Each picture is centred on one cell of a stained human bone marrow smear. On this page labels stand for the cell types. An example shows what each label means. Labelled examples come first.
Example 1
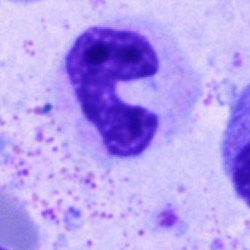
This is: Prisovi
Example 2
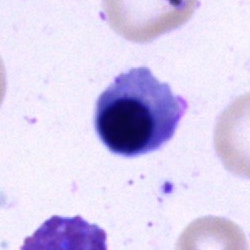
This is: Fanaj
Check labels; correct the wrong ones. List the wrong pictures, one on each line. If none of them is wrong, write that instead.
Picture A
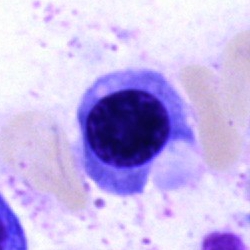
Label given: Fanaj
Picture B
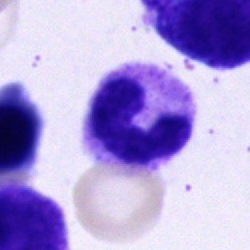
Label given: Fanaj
B should be Prisovi, not Fanaj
